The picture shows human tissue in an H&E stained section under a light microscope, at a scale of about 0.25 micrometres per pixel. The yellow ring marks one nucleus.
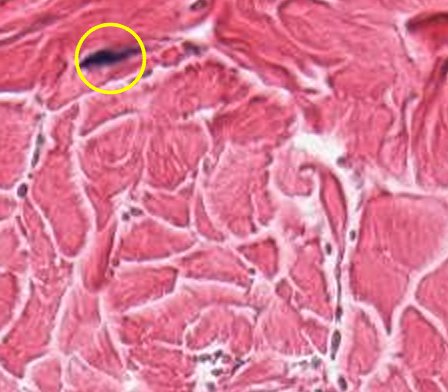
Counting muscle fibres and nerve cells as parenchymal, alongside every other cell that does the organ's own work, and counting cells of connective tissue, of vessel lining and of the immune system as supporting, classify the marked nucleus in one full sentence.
Held by a supporting cell is the marked nucleus in this section.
